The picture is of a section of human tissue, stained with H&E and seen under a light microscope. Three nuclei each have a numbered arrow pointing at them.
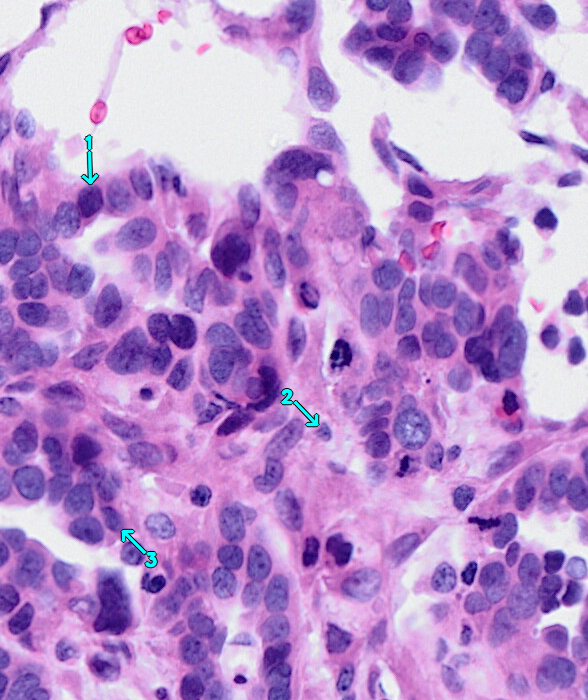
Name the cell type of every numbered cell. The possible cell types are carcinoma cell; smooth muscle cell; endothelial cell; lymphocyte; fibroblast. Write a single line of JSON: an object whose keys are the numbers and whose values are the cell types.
{"1": "carcinoma cell", "2": "lymphocyte", "3": "carcinoma cell"}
